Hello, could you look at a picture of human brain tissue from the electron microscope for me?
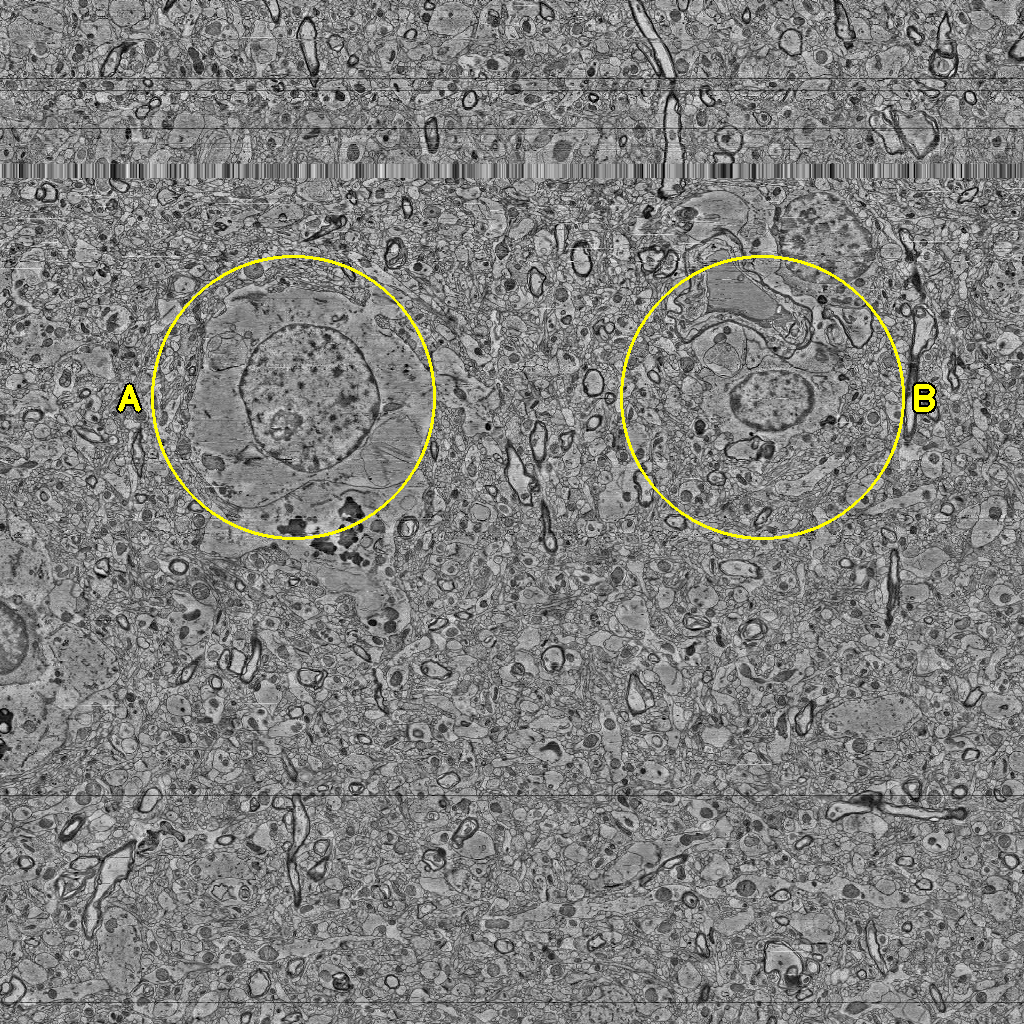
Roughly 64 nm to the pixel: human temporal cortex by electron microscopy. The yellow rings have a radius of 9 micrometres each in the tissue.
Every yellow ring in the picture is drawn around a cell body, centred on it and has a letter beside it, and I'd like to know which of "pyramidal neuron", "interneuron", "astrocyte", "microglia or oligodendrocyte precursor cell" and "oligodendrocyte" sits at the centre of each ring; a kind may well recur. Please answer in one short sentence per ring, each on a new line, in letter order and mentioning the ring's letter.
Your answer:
The cell sitting at the centre of ring A is an astrocyte.
The cell sitting at the centre of ring B is a microglial cell or oligodendrocyte precursor cell.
